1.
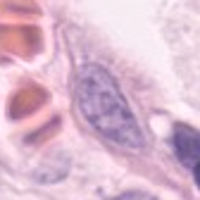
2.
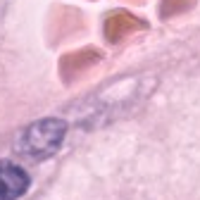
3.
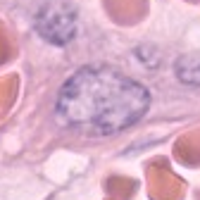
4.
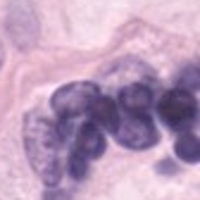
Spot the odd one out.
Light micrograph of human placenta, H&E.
Picture 4 (a syncytial knot among cytotrophoblasts).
